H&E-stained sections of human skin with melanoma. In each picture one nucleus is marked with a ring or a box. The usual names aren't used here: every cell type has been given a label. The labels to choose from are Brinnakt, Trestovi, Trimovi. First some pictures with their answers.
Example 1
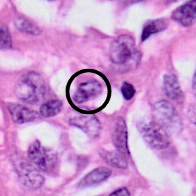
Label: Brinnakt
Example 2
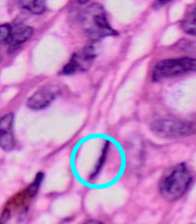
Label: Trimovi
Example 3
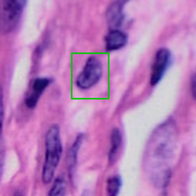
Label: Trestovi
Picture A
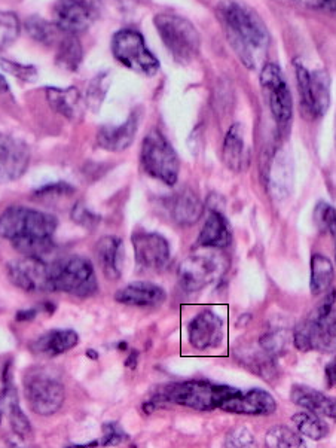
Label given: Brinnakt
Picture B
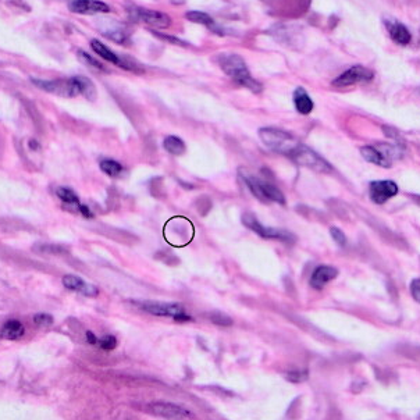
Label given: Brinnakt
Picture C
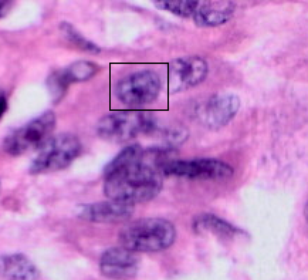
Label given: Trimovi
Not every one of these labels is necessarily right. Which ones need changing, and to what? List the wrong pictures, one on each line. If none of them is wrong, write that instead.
B: not Brinnakt but Trimovi
C: not Trimovi but Brinnakt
